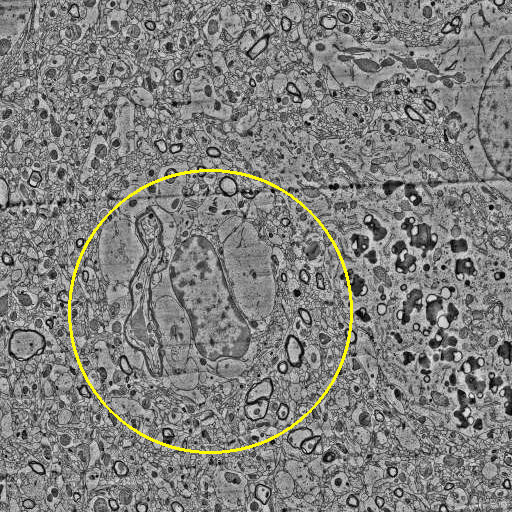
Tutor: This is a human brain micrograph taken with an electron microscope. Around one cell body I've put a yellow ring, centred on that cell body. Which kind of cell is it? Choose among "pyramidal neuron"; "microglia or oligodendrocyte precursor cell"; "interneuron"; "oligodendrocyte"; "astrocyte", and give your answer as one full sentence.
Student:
Going by your list, the cell centred in the yellow ring is a microglial cell or oligodendrocyte precursor cell.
